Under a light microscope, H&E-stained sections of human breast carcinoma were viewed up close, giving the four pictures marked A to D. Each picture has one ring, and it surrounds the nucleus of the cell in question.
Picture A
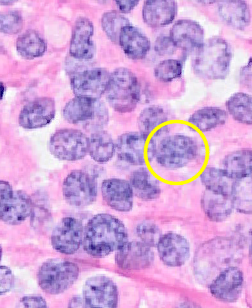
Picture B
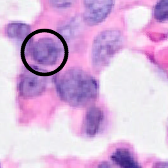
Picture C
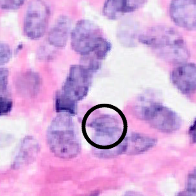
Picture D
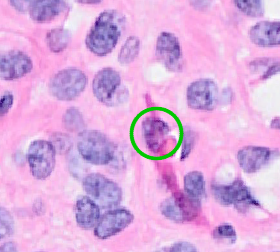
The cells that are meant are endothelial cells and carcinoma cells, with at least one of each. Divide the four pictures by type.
A: carcinoma cell
B: carcinoma cell
C: carcinoma cell
D: endothelial cell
